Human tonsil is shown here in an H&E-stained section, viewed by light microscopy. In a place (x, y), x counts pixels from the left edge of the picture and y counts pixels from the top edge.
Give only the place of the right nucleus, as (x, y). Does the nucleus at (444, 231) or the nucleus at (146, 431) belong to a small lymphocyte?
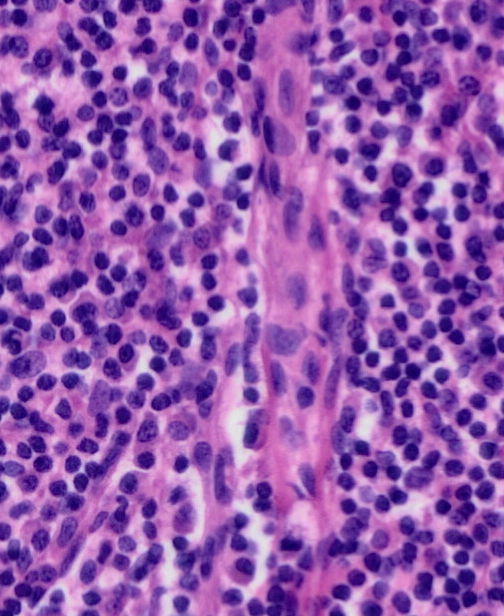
(444, 231)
